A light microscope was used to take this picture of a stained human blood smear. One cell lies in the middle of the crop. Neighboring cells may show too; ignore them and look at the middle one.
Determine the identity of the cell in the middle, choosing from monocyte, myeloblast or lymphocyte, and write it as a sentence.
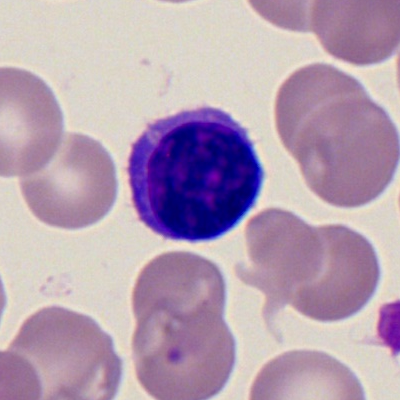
Whatever else lies nearby, the middle cell is a lymphocyte.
